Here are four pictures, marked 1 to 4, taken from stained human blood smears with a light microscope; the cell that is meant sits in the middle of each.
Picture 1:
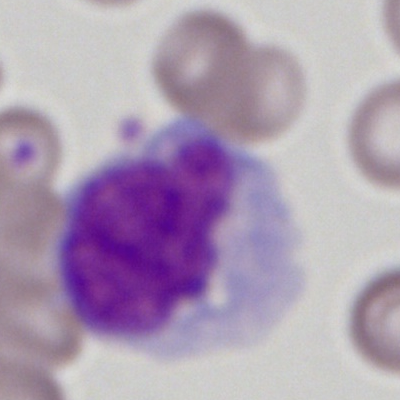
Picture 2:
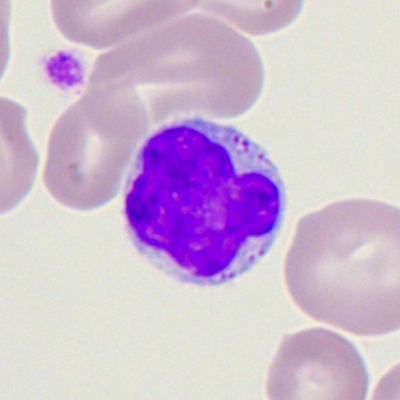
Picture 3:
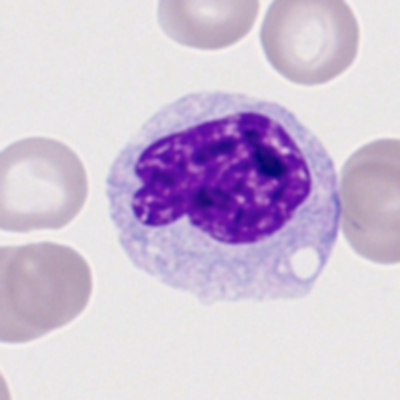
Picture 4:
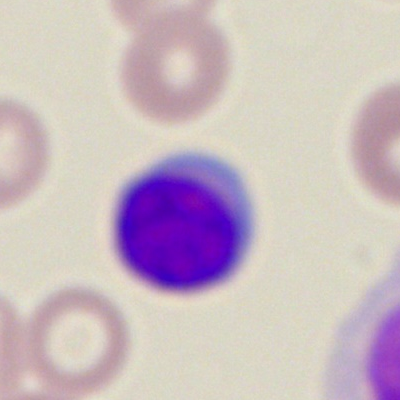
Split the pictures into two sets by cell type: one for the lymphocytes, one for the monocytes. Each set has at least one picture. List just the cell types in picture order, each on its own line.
monocyte
lymphocyte
monocyte
lymphocyte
